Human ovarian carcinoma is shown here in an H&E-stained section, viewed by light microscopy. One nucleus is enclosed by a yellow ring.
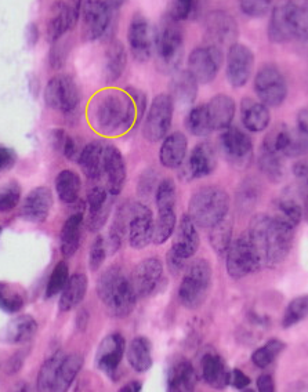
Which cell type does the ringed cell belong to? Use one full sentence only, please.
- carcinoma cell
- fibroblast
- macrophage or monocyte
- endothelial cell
In this tissue sample, the ringed cell is a carcinoma cell.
